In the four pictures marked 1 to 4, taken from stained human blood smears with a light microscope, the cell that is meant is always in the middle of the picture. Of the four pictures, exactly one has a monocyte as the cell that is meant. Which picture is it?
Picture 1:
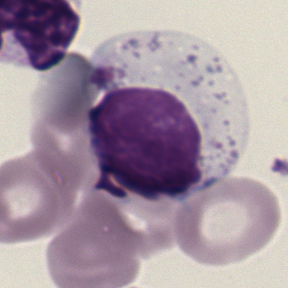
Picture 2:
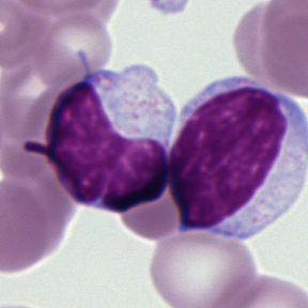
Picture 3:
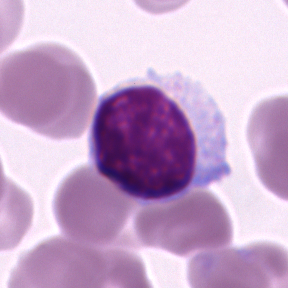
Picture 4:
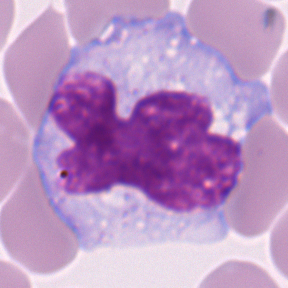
4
